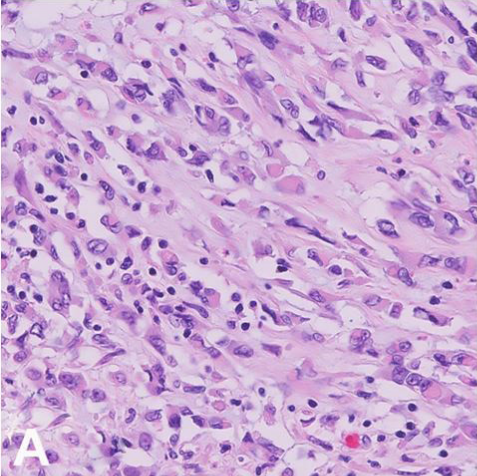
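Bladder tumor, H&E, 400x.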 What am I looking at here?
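The cells vary in size and form, some plump and rounded, others elongated, and many are aligned in one direction. Nuclei are oval with open, vesicular chromatin and visible nucleoli in many cells. Cytoplasm is pink and moderate in amount, in places eccentric. Between the cells lies a pale pink, loose matrix with clear spaces.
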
